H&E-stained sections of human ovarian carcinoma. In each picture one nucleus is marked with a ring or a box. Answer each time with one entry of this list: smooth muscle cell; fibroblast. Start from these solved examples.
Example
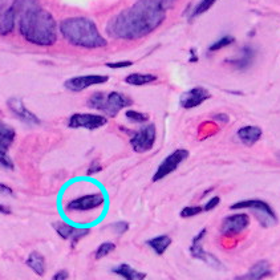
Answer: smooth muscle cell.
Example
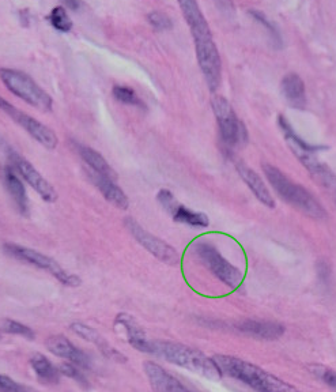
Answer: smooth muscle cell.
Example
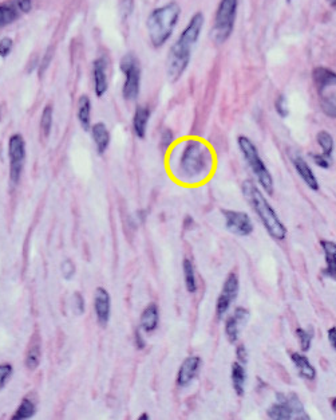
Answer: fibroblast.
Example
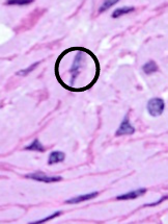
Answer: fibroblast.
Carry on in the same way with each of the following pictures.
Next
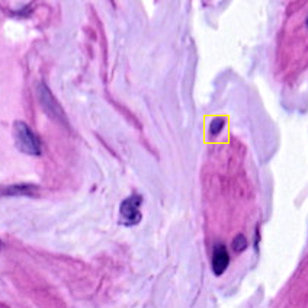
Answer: smooth muscle cell.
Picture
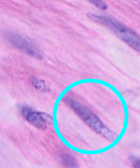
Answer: smooth muscle cell.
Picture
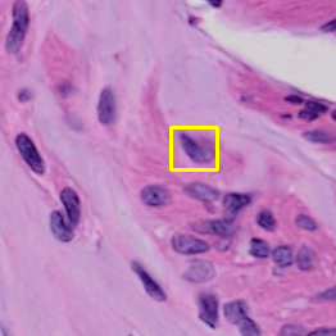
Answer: smooth muscle cell.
